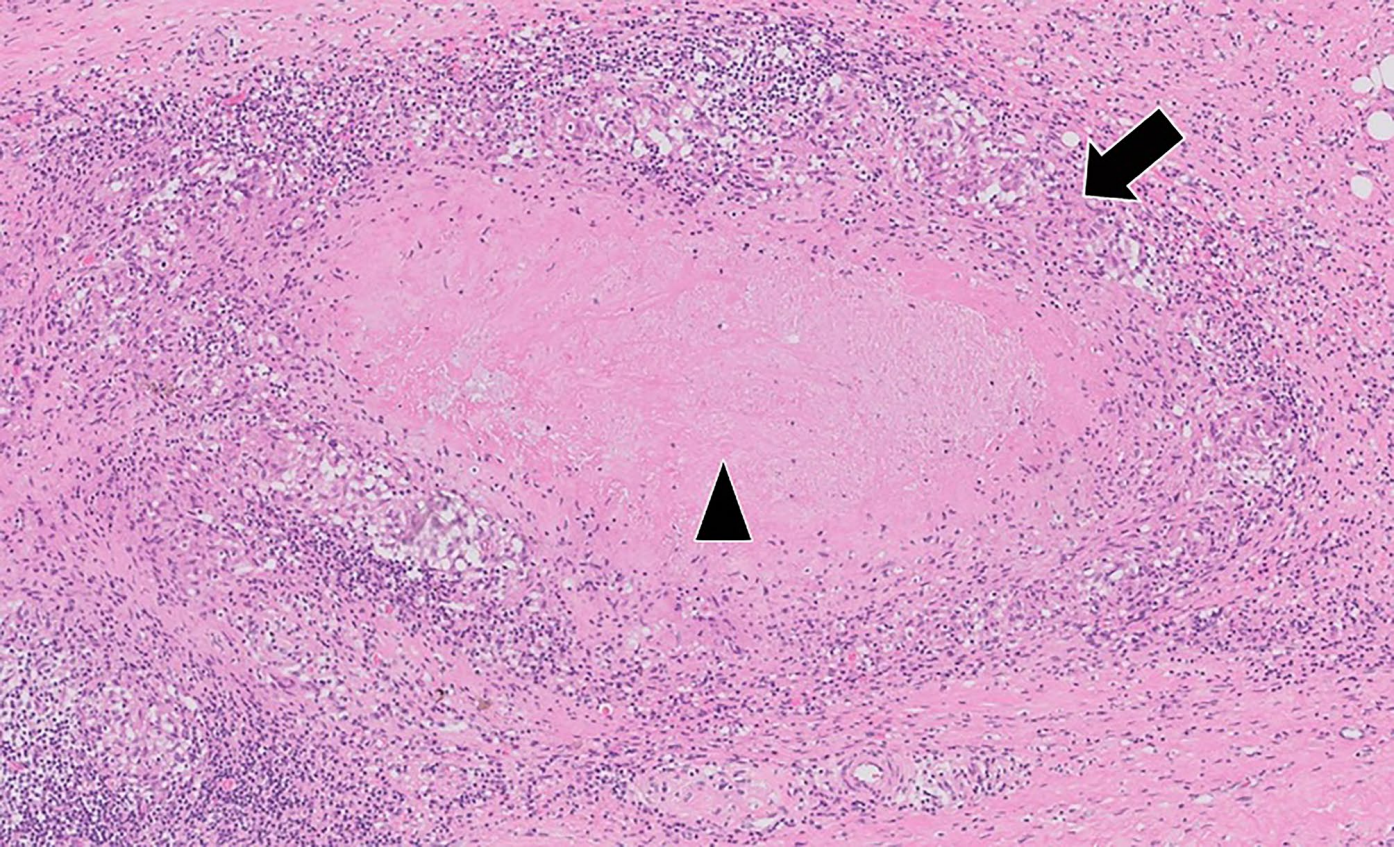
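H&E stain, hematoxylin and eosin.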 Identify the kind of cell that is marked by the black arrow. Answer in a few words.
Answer: histiocytes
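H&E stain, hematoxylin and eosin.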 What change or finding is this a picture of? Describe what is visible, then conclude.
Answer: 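An oval nodule with a pale acellular centre. A rim of elongated pale cells around the centre. An outer zone of dense small dark nuclei within fibrous pink tissue. The answer: granulomatous inflammation.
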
